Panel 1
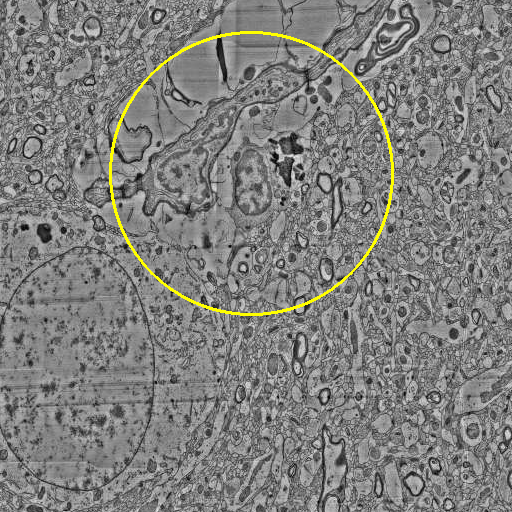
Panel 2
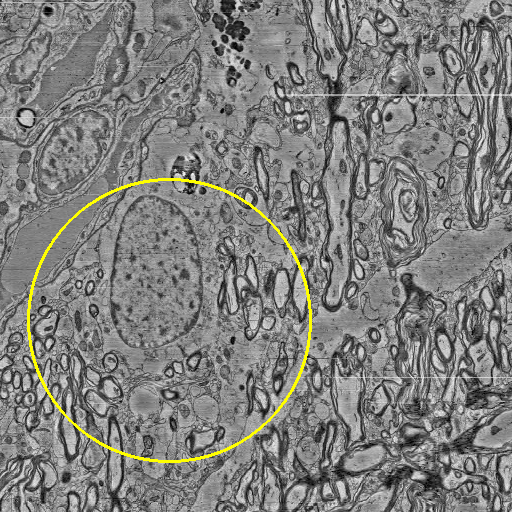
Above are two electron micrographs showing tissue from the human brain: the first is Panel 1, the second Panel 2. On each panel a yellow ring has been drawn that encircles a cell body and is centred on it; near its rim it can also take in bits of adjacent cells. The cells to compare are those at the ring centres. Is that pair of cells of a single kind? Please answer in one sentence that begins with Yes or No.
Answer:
No, the ring-centred cells of Panel 1 and Panel 2 belong to two kinds.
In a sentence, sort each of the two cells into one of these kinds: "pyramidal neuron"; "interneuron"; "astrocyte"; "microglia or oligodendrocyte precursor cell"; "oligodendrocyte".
The first of the two cells is an oligodendrocyte, and the second is an astrocyte.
